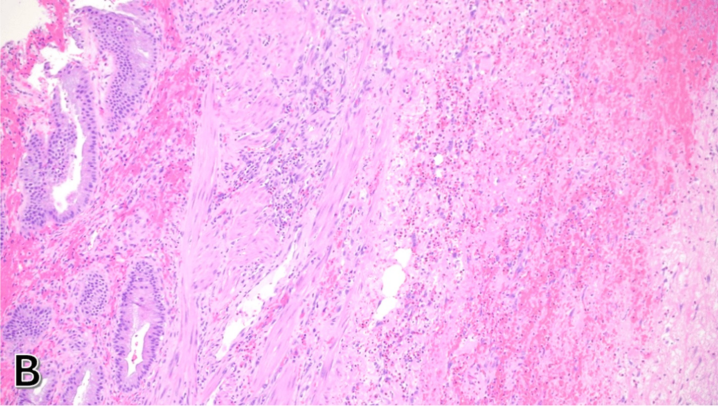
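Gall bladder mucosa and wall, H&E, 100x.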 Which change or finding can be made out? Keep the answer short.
Transmural inflammation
